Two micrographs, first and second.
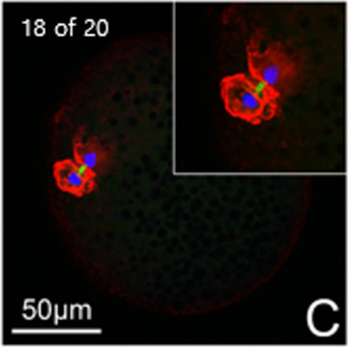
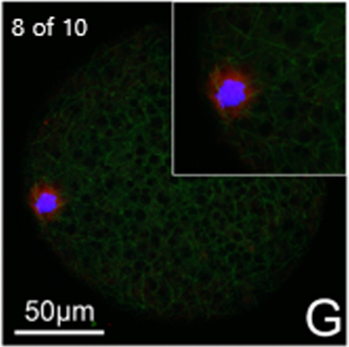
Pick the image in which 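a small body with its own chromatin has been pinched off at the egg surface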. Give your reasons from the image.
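Second image: a single blue chromatin mass with a little red lies at the egg edge, with no separate body. First image: a red-rimmed bulge at the edge holds its own blue chromatin, joined by a green bridge to chromatin in the egg.
The first image.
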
